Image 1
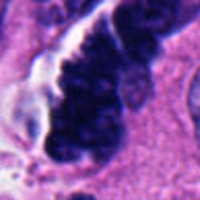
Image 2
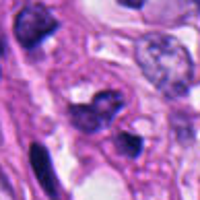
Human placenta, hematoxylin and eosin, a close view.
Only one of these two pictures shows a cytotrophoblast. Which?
Picture 2.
